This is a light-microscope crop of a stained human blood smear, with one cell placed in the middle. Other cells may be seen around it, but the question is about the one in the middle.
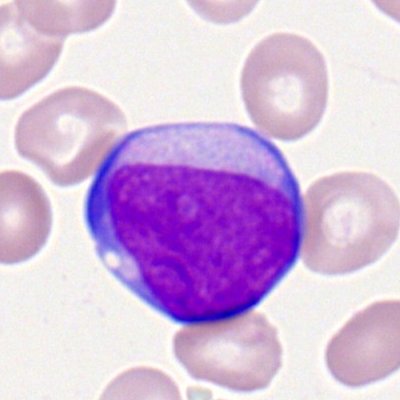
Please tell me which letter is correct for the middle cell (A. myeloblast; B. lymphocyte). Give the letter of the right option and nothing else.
A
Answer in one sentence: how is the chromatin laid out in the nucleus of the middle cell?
There is no coarse clumping; the chromatin stays fine throughout.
